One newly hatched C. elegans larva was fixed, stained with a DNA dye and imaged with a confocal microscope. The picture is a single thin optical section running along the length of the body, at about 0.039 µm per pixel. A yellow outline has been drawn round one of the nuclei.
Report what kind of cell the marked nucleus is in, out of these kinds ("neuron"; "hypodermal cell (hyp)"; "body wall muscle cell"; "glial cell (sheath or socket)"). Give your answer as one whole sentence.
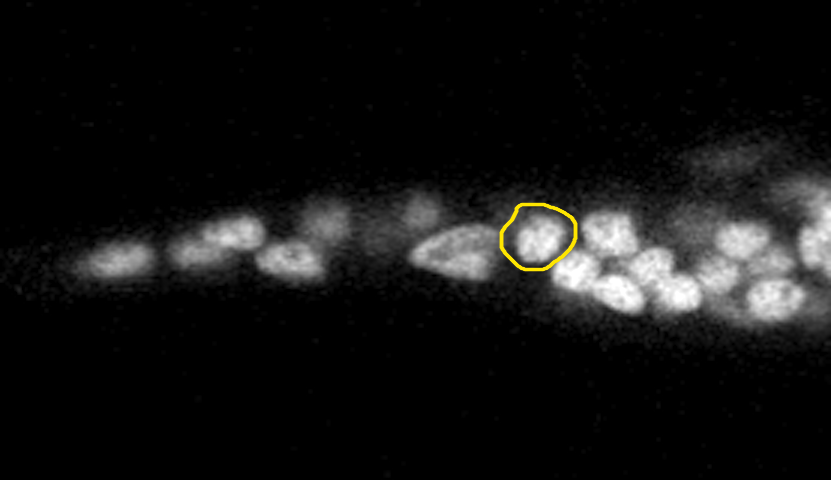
It is the nucleus of a neuron.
